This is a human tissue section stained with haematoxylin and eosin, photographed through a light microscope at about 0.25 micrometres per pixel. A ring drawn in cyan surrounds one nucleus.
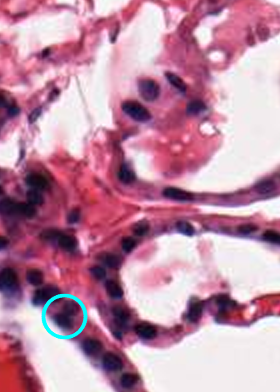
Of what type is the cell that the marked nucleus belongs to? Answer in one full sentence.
The marked nucleus is located in a thyroid follicular cell.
